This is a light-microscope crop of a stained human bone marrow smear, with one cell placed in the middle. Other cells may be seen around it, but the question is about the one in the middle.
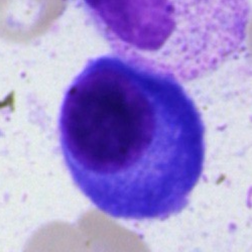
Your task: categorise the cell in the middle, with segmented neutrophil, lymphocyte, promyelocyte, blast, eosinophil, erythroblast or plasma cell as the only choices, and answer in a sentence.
For this crop, the central cell is a plasma cell.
